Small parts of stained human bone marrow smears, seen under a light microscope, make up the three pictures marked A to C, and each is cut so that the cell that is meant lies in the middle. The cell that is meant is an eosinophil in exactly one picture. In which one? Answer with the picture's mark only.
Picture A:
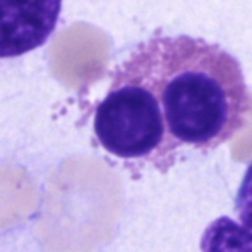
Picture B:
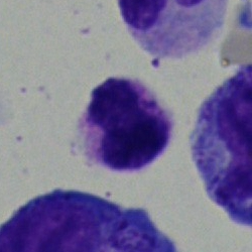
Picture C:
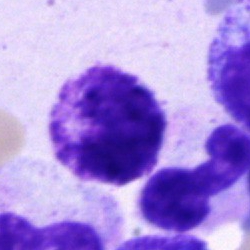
A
